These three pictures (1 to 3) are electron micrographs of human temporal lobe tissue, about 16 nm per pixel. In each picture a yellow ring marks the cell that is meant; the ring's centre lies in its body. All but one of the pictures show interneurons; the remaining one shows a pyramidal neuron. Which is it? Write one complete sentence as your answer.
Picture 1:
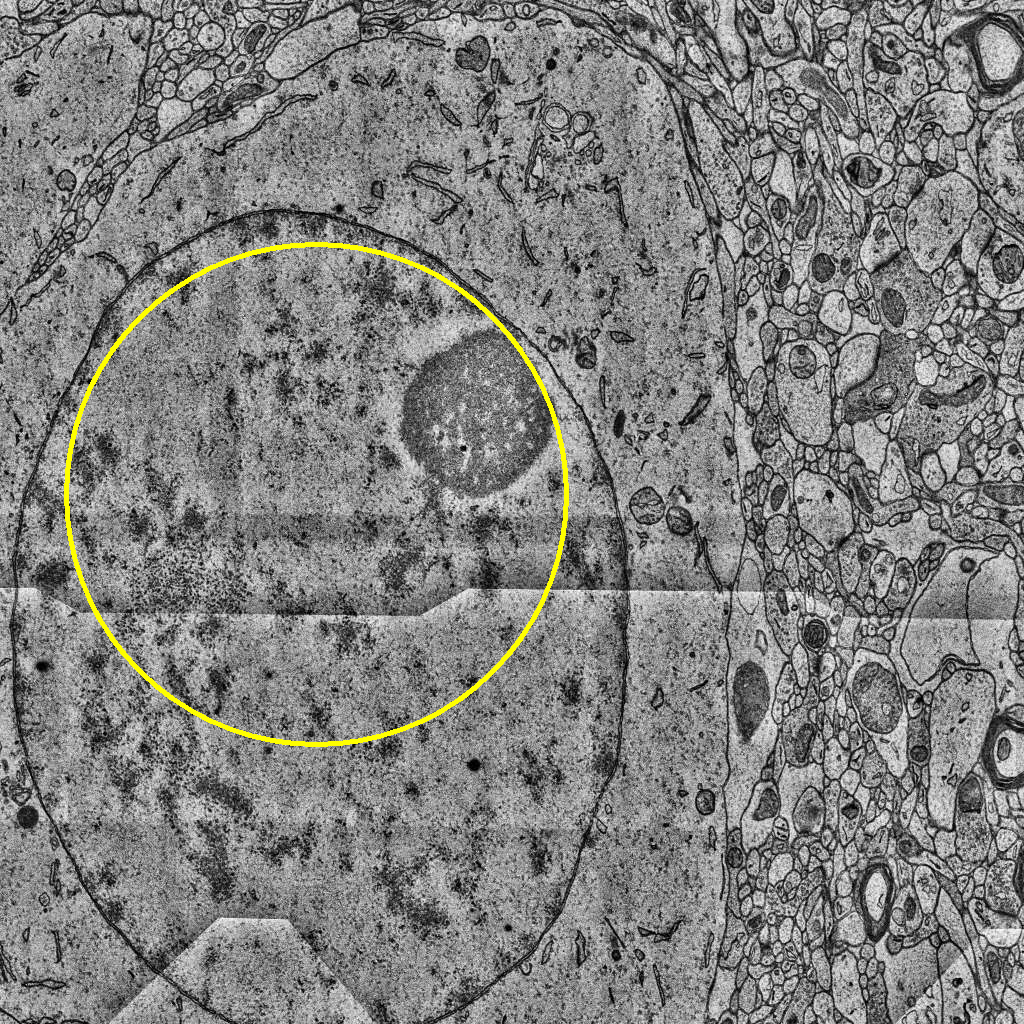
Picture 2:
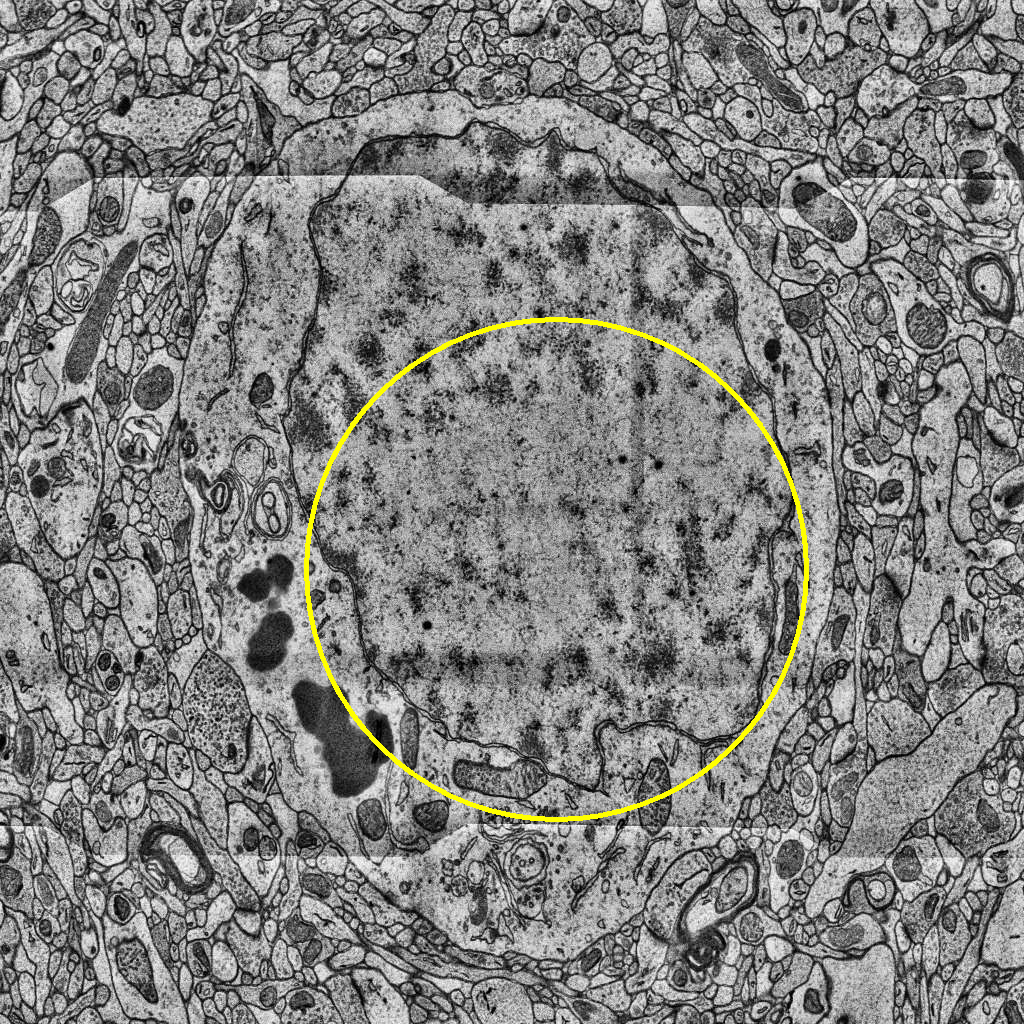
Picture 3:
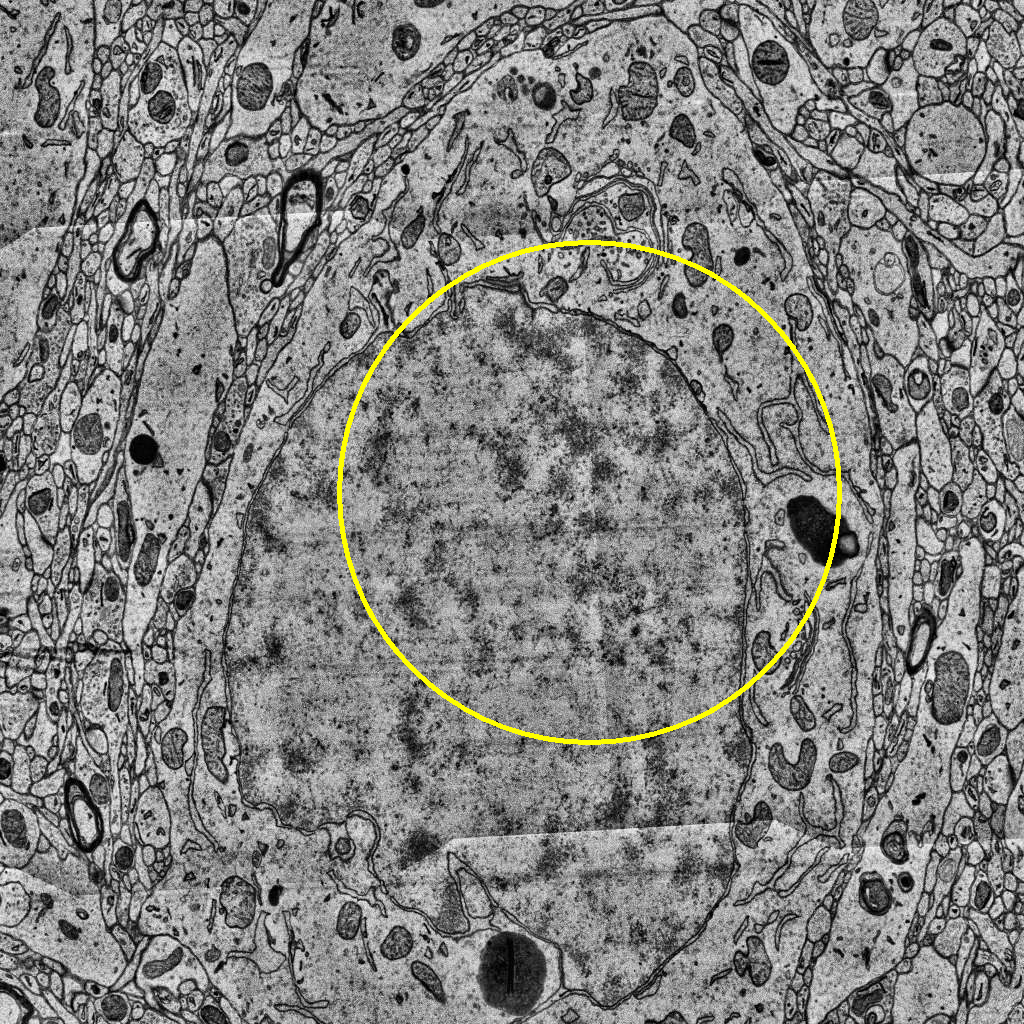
The cell in picture 1 is the pyramidal neuron.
